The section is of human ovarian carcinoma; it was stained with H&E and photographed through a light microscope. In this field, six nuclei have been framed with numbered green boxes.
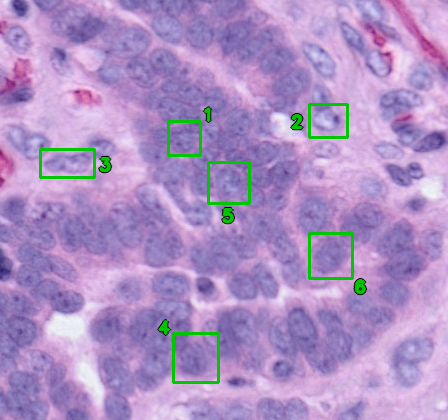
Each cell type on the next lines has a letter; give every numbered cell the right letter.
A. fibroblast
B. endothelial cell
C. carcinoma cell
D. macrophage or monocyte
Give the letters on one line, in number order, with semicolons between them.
C; A; A; C; C; C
